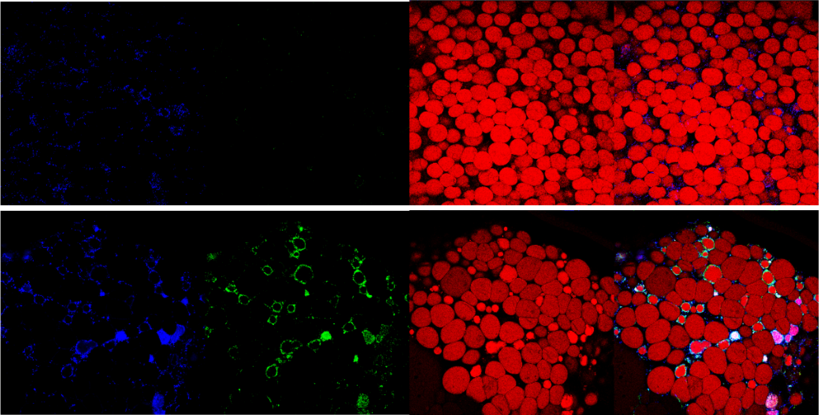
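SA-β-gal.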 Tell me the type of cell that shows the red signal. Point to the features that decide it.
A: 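Large round red-filled profiles packed closely together. The red profiles vary in size and fill most of the tissue. That points to this answer: adipocytes.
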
